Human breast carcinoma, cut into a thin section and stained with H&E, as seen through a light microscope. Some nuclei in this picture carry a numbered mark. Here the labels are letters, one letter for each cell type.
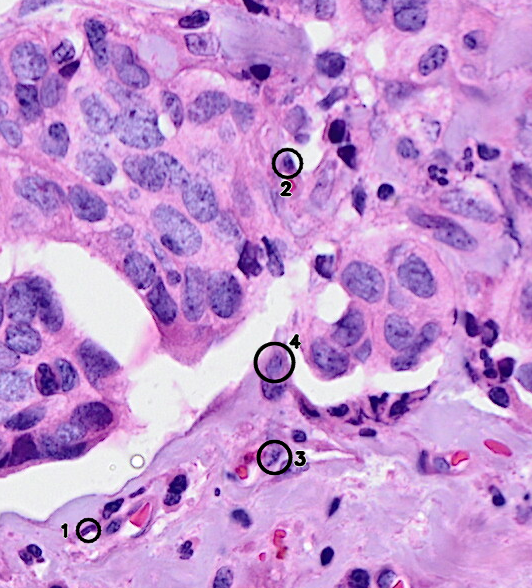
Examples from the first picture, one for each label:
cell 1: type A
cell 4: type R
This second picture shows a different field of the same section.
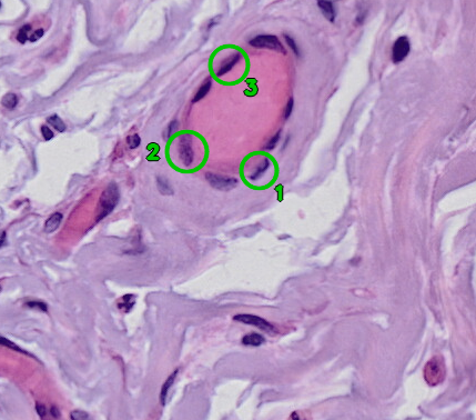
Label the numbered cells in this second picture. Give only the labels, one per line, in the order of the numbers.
type A
type R
type R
